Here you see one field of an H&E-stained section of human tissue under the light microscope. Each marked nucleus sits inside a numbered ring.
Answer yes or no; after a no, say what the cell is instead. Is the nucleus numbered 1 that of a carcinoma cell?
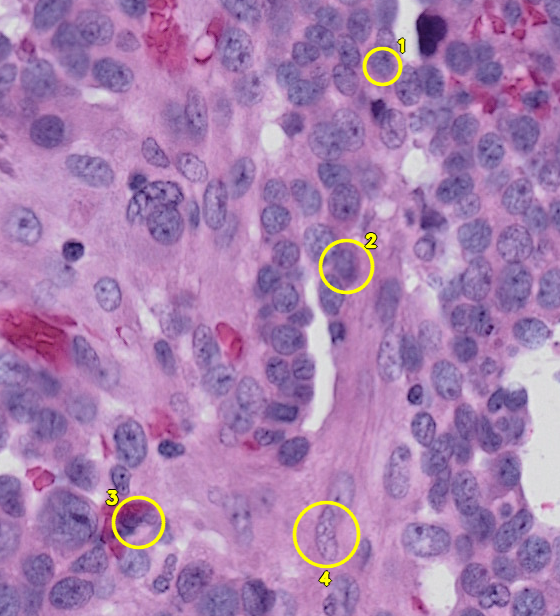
Yes.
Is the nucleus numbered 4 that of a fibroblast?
Yes.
